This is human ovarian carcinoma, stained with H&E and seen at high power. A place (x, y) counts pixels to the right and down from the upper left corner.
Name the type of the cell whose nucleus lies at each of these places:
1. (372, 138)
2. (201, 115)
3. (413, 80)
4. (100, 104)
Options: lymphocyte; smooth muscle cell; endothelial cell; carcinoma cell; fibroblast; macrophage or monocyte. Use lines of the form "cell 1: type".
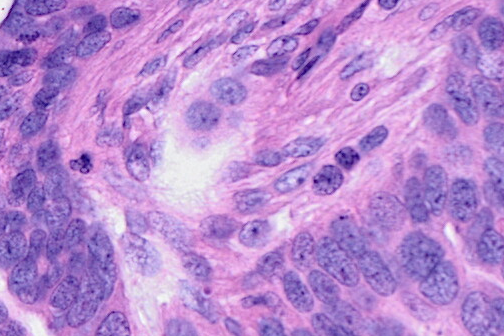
cell 1: macrophage or monocyte
cell 2: carcinoma cell
cell 3: fibroblast
cell 4: fibroblast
